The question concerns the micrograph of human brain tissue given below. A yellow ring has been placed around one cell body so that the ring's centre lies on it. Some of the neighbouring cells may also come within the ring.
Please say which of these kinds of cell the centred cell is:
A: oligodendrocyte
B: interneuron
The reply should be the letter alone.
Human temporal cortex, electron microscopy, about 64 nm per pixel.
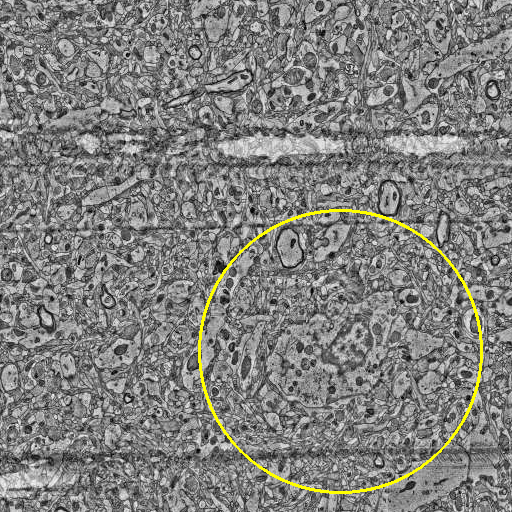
B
